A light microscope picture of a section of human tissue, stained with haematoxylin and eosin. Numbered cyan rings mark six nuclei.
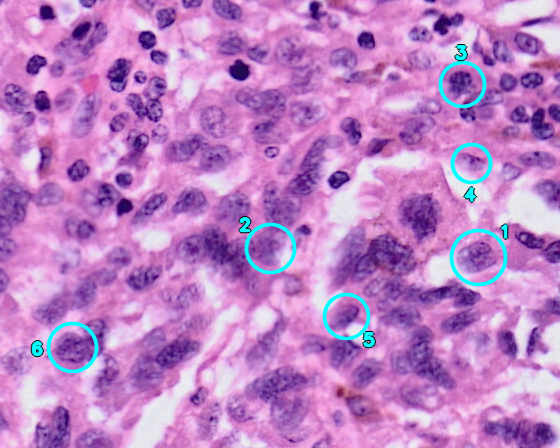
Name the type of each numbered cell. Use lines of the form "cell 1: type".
cell 1: melanoma cell
cell 2: melanoma cell
cell 3: plasma cell
cell 4: macrophage or monocyte
cell 5: melanoma cell
cell 6: melanoma cell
